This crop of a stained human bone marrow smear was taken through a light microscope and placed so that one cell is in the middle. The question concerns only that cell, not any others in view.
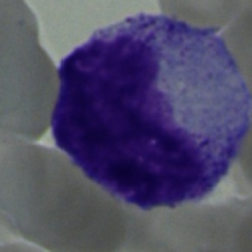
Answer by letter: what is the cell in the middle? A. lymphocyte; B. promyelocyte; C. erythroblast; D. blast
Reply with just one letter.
B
